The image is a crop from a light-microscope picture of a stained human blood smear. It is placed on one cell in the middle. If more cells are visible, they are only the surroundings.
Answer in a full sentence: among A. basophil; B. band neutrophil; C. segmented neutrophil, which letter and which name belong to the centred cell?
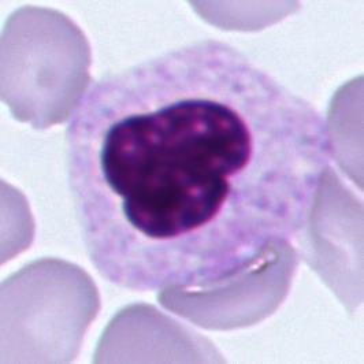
Option C gives the correct identity of the central cell, namely a segmented neutrophil.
